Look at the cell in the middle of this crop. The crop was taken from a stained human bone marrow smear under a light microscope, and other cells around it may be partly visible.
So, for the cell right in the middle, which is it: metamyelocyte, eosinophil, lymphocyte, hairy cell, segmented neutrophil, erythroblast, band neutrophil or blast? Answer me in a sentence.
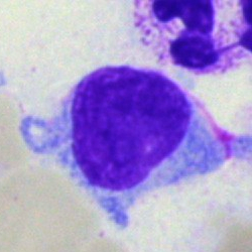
Centrally within this crop lies a hairy cell.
